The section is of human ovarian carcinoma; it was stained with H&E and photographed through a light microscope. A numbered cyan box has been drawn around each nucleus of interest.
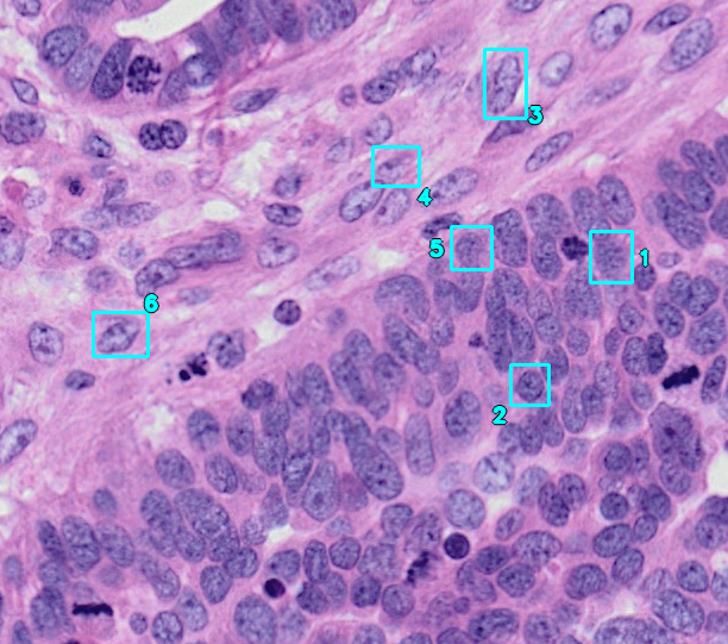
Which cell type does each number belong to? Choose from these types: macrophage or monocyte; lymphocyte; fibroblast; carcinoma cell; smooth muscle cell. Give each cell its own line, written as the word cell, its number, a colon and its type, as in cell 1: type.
cell 1: carcinoma cell
cell 2: carcinoma cell
cell 3: fibroblast
cell 4: fibroblast
cell 5: carcinoma cell
cell 6: fibroblast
